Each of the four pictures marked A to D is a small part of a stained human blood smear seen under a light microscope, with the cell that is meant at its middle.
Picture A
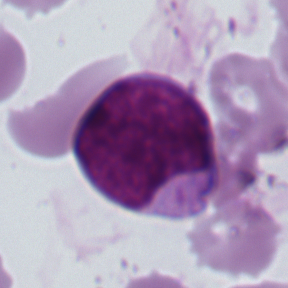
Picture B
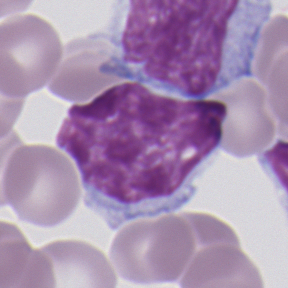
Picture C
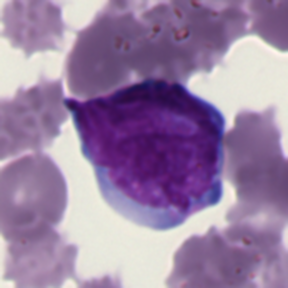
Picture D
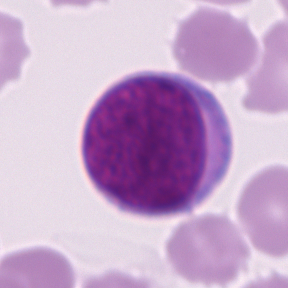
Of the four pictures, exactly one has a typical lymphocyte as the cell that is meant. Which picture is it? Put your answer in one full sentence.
Picture B is the one that shows the typical lymphocyte.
